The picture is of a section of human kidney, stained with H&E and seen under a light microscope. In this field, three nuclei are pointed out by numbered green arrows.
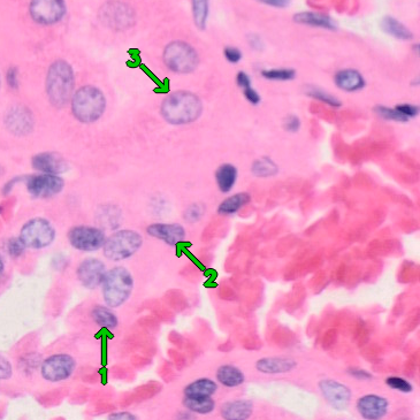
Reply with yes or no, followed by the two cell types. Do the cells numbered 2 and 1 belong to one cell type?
Yes, both are collecting duct cells.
